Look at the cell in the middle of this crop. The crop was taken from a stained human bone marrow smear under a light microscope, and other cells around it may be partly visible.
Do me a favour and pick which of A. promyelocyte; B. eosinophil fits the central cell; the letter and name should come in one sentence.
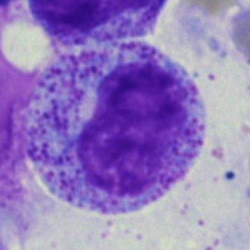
The cell in the middle is correctly identified as a promyelocyte in option A.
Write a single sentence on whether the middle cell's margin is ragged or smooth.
No projections interrupt the outline; it is smooth all the way round.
